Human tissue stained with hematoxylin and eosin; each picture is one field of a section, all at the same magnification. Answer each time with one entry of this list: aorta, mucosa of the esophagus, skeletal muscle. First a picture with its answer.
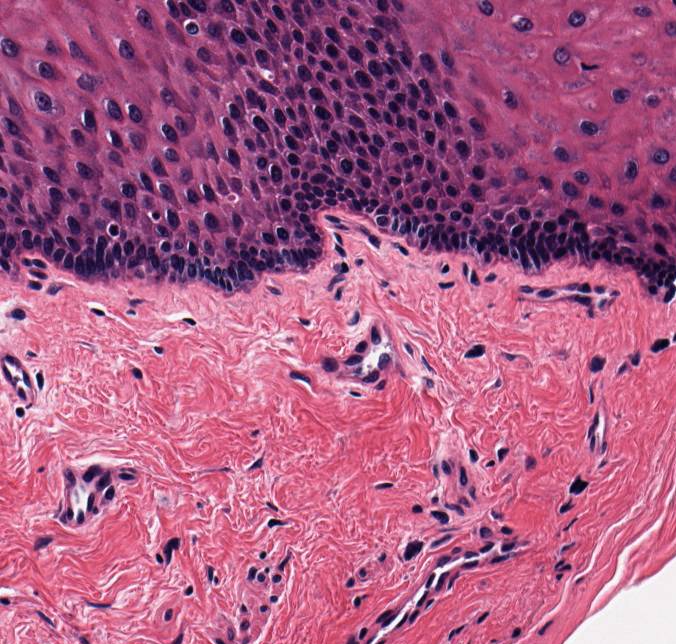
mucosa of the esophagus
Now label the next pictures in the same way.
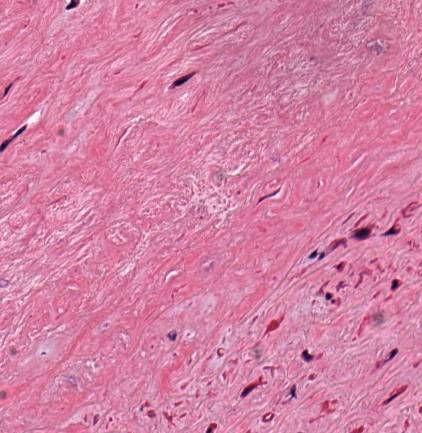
aorta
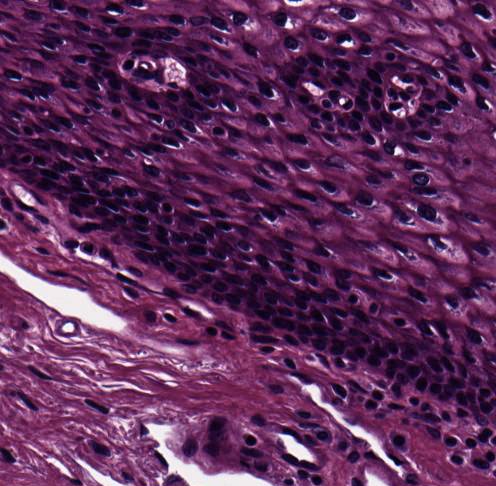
mucosa of the esophagus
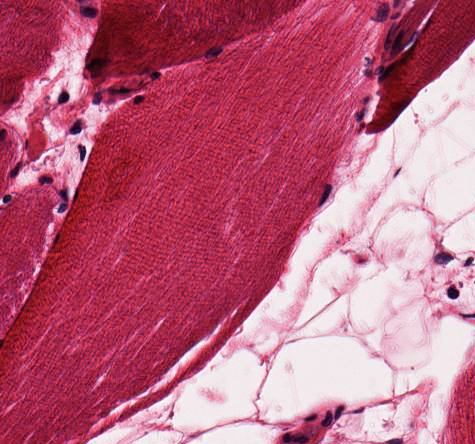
skeletal muscle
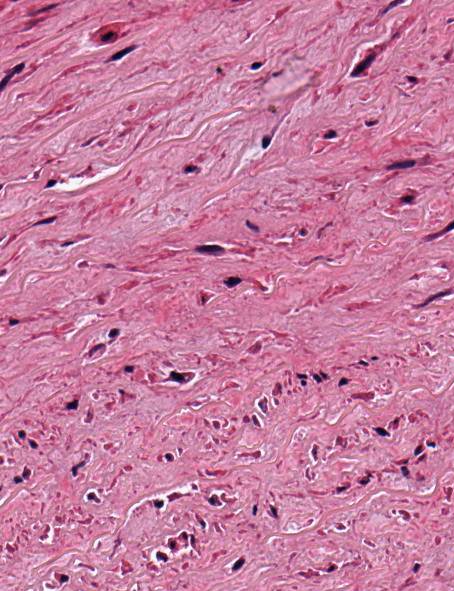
aorta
